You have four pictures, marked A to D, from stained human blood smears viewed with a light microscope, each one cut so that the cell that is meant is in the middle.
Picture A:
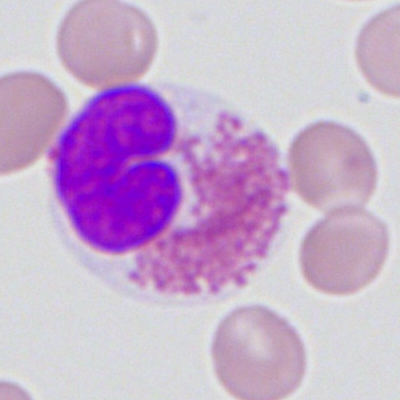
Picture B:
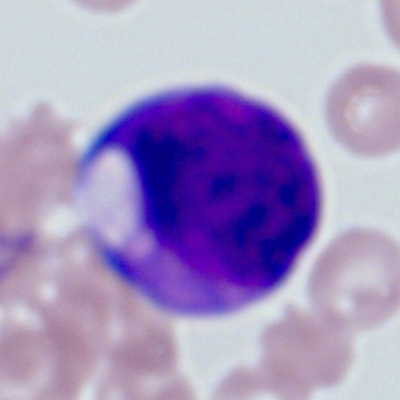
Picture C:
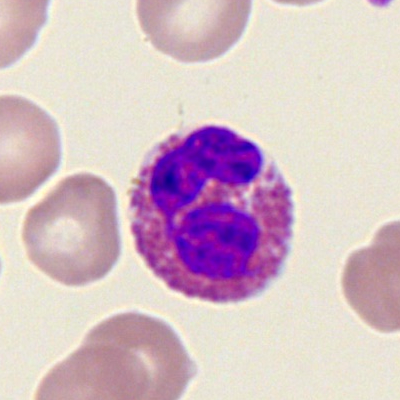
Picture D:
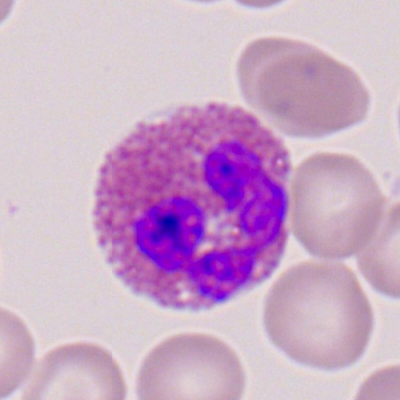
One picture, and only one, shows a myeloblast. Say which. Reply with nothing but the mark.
B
